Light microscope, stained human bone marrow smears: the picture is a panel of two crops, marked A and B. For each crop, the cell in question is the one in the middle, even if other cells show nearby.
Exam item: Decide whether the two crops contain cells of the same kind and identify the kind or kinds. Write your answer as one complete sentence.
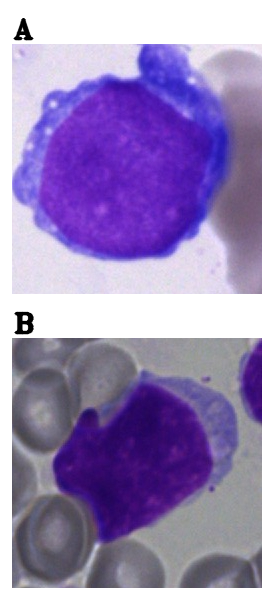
Yes, that holds, both crops show blasts.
